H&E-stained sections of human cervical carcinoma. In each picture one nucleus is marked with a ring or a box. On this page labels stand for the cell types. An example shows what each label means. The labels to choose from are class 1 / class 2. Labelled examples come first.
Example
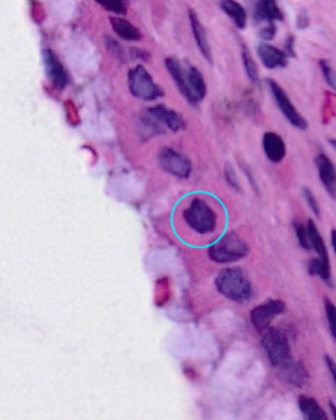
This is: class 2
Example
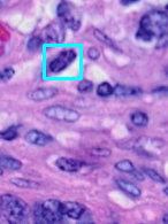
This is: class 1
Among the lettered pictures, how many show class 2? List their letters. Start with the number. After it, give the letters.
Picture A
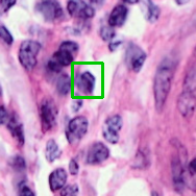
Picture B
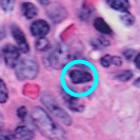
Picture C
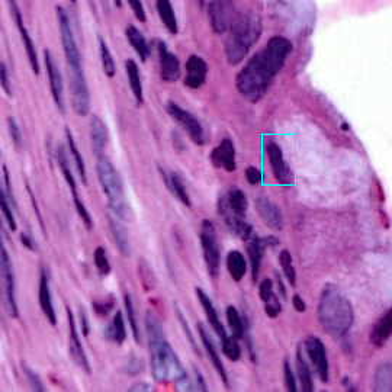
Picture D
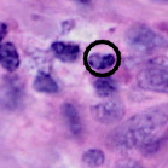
1, namely C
